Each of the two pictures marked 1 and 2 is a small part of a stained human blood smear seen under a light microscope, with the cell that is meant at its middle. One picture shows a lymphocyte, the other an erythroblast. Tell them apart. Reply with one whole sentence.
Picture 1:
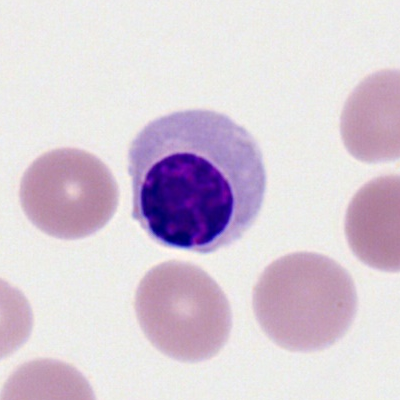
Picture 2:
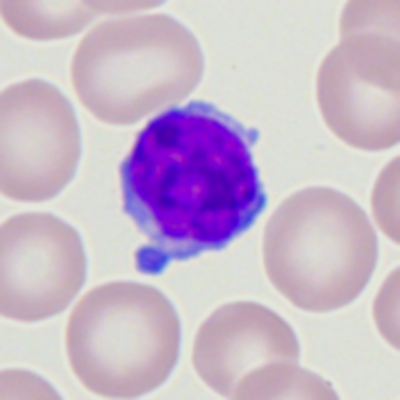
In picture 1 the cell is an erythroblast; in picture 2, a lymphocyte.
